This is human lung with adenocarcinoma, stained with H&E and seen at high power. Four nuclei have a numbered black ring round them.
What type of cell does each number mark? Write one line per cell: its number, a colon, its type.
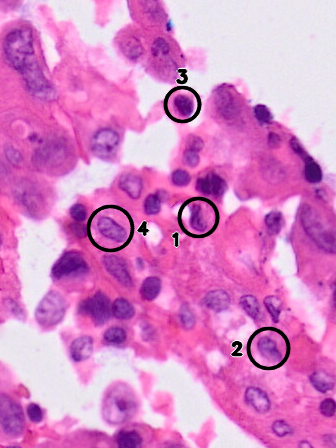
1: macrophage or monocyte
2: macrophage or monocyte
3: lymphocyte
4: macrophage or monocyte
